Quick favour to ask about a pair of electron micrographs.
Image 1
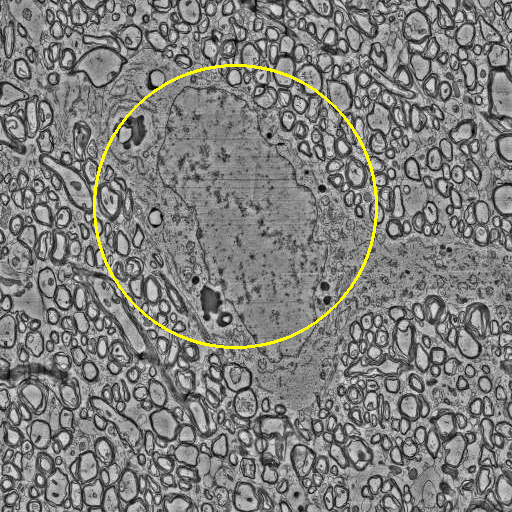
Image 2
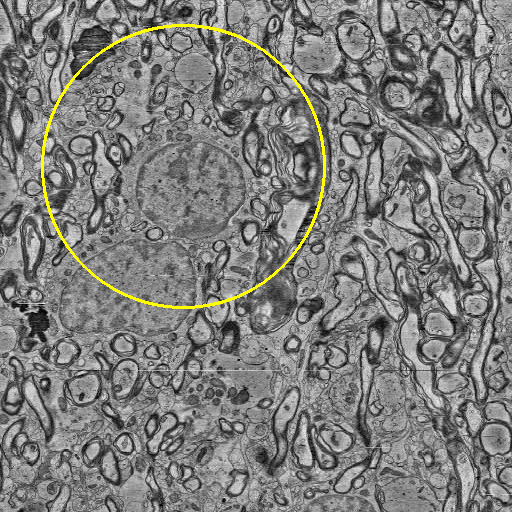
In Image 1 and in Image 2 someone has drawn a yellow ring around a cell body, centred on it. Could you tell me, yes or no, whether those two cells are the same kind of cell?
no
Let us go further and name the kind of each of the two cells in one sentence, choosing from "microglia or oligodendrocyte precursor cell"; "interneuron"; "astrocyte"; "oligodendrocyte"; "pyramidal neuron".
The ring of the first picture is on a pyramidal neuron, the ring of the second on an oligodendrocyte.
